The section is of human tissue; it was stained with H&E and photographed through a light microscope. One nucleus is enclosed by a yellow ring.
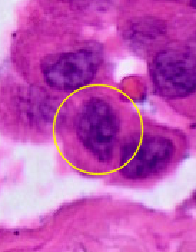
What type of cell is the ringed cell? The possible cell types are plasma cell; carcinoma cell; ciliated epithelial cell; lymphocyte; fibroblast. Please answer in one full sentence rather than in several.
At the level of cell identity, the ringed cell is a carcinoma cell.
